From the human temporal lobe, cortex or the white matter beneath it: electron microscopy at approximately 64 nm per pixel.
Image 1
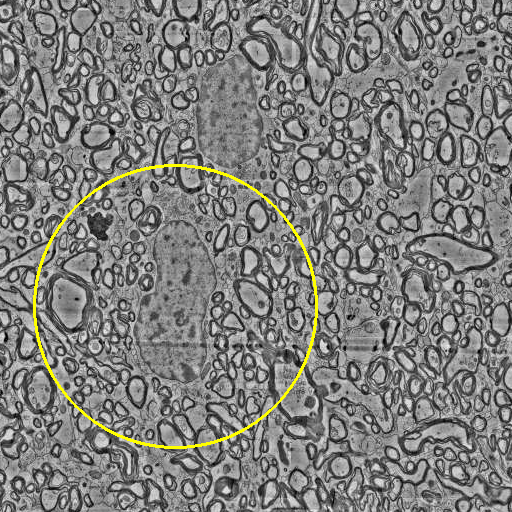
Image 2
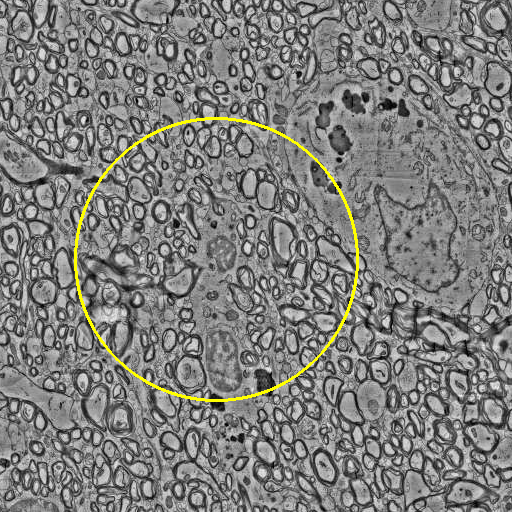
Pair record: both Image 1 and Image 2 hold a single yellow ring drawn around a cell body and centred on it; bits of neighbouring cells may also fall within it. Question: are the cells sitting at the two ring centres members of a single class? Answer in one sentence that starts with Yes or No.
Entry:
No, the ring-centre cells in Image 1 and Image 2 come from two classes.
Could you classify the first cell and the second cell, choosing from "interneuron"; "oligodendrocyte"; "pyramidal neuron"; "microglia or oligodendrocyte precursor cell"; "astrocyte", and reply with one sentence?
The second cell is an oligodendrocyte, while the first is a microglial cell or oligodendrocyte precursor cell.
